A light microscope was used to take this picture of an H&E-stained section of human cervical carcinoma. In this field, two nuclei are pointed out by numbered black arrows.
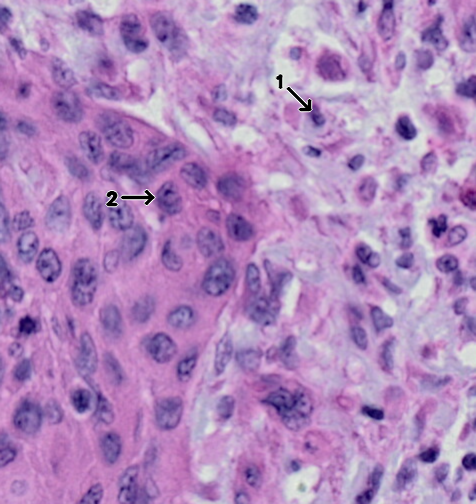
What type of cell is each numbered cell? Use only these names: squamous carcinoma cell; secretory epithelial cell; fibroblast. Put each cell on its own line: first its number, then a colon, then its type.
1: fibroblast
2: squamous carcinoma cell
